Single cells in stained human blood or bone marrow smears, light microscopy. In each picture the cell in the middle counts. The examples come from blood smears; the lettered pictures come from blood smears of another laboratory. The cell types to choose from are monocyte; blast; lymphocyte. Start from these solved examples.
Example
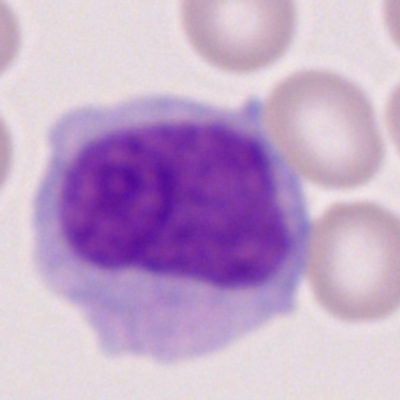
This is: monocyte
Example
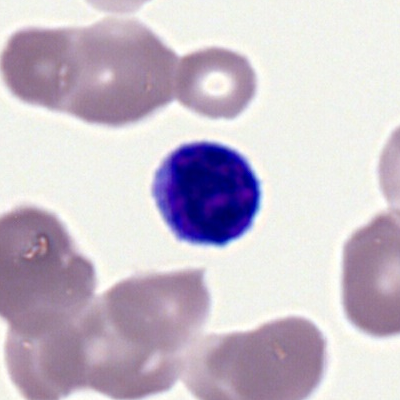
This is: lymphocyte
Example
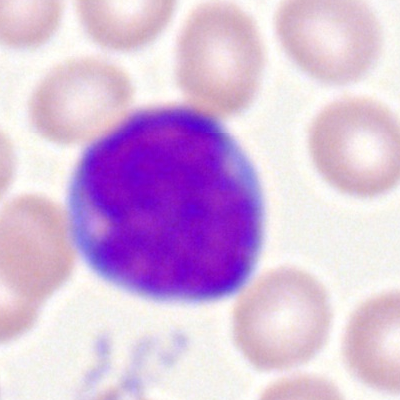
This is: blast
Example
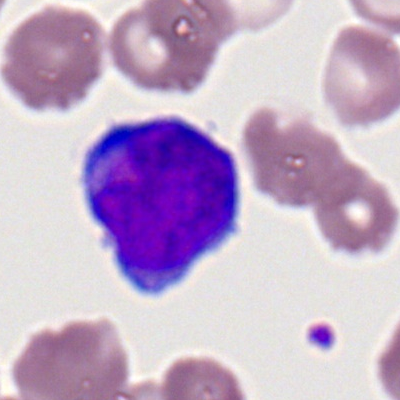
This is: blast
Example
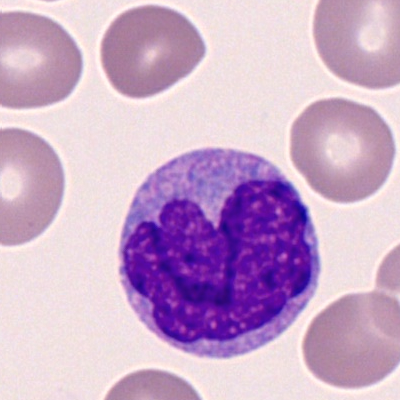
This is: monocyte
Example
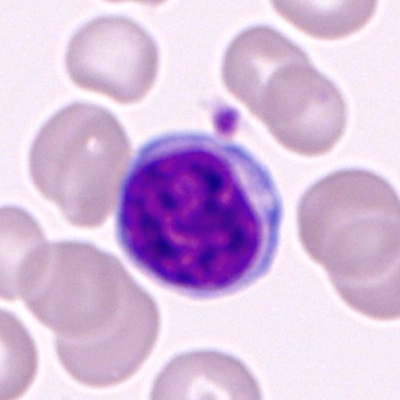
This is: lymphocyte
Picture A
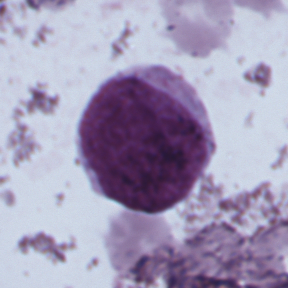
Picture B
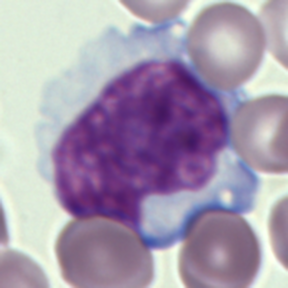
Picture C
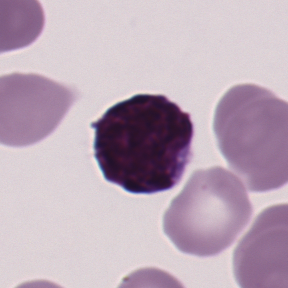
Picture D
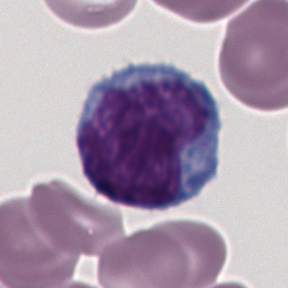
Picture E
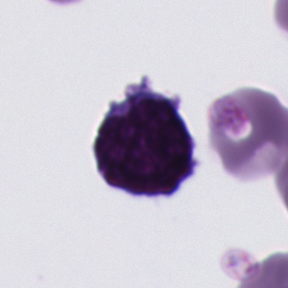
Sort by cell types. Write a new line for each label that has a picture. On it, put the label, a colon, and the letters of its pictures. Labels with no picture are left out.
monocyte: D
blast: A, B, C, E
